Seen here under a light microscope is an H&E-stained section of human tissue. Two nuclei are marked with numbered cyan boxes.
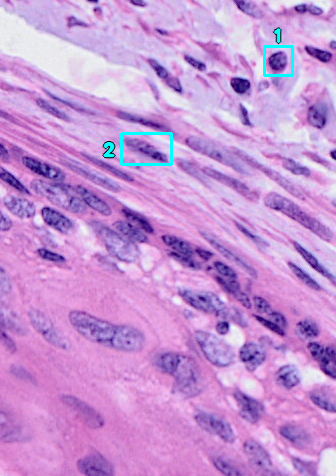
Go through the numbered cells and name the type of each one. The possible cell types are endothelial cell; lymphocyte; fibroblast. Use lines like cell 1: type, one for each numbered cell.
cell 1: lymphocyte
cell 2: fibroblast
